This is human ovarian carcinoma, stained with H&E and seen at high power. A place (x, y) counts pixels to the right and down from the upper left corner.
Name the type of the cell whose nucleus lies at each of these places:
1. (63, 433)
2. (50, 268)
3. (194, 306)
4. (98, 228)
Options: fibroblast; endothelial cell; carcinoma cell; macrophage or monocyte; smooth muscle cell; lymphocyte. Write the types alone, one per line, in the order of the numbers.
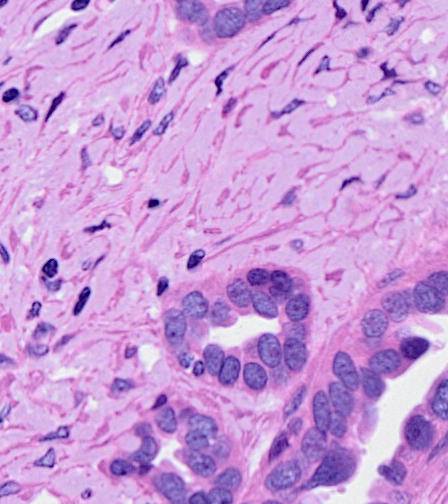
fibroblast
lymphocyte
carcinoma cell
fibroblast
